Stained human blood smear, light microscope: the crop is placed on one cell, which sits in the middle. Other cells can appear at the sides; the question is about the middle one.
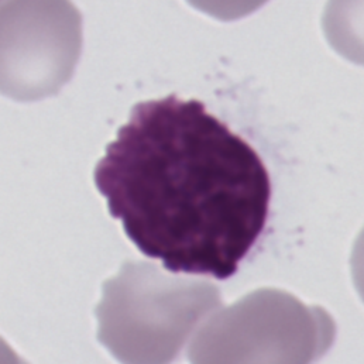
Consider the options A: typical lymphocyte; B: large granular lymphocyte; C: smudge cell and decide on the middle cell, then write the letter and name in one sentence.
Identification: the cell in the middle is a smudge cell, matching option C.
